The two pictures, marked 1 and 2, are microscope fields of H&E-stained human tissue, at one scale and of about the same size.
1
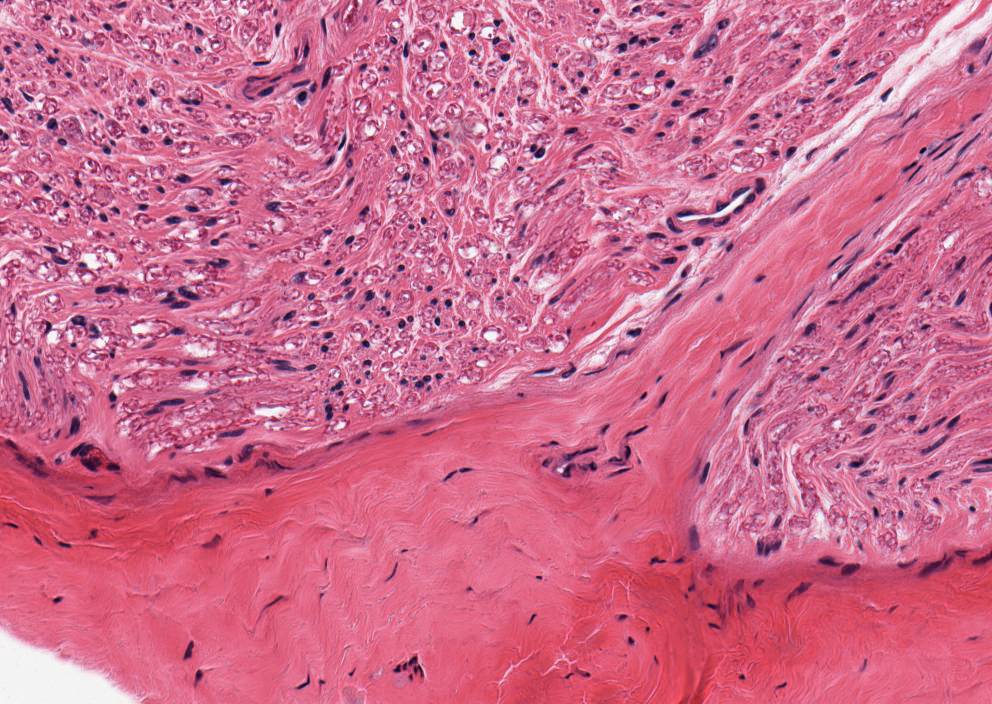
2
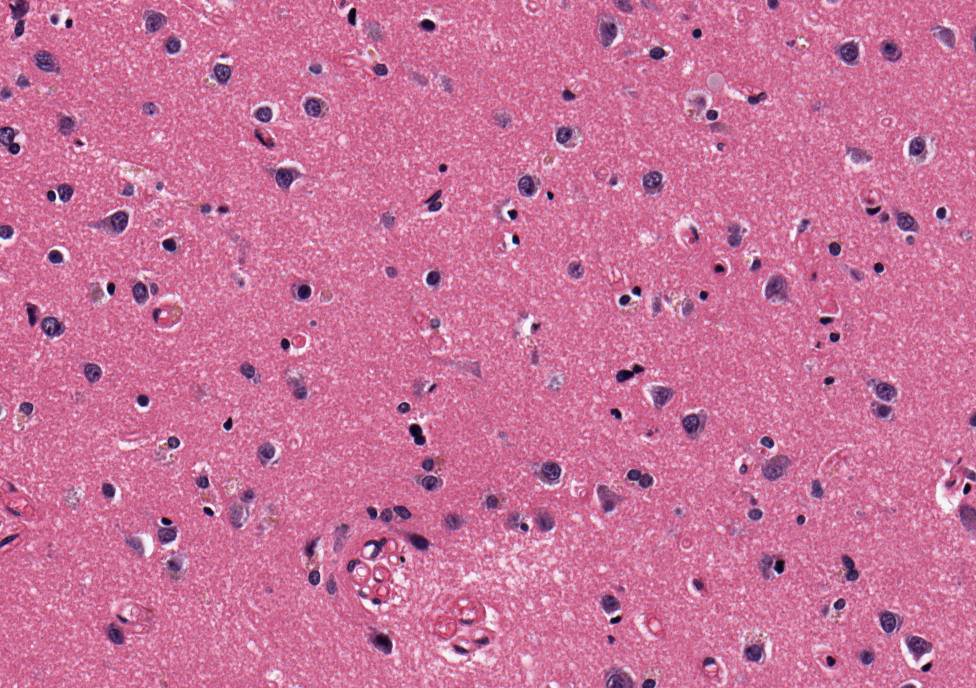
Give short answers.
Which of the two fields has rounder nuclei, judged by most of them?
2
